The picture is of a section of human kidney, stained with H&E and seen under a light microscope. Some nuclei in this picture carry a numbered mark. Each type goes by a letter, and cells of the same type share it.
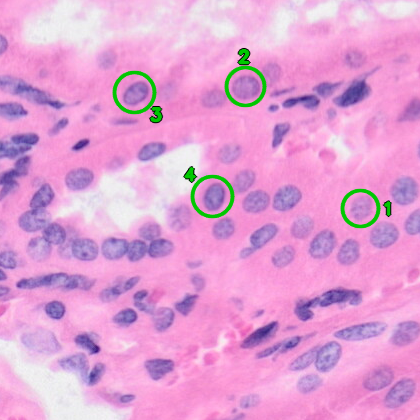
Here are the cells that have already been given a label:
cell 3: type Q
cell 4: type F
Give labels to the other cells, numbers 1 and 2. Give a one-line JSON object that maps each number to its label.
{"1": "type F", "2": "type Q"}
